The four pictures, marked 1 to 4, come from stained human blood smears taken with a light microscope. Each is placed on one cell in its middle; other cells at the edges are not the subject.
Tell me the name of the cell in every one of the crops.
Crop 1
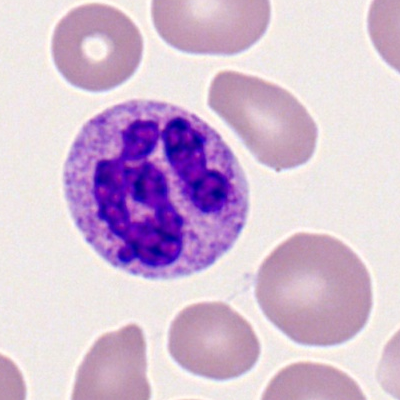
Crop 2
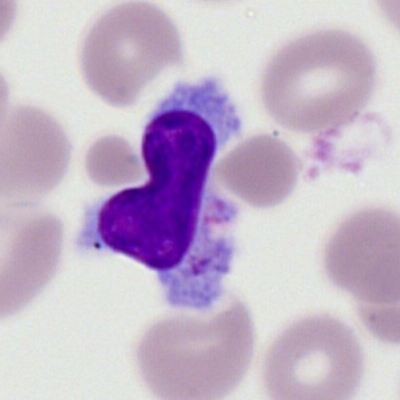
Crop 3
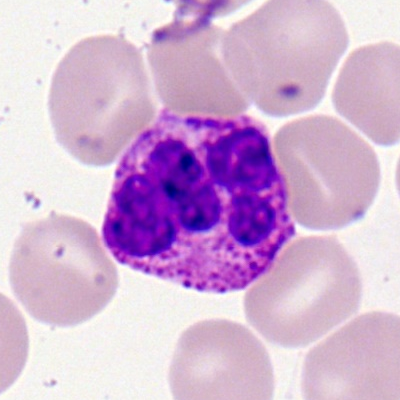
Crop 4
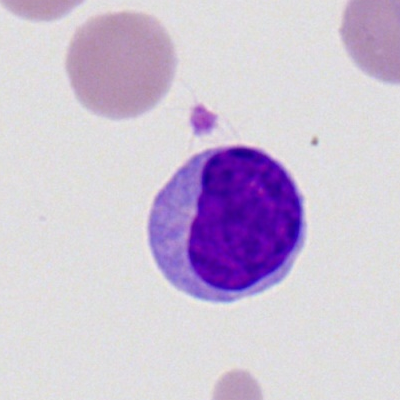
1: neutrophil
2: lymphocyte
3: basophil
4: lymphocyte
